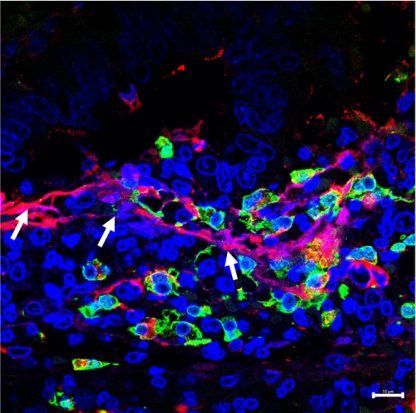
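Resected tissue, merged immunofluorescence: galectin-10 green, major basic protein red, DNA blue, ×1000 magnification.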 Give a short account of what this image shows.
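Running across the middle of the field is a branching network of pink-red strands, stretching between cells rather than lying inside them. Small red deposits are scattered in the tissue beyond the cells. Above, many blue nuclei without colour around them belong to other cells of the tissue.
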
